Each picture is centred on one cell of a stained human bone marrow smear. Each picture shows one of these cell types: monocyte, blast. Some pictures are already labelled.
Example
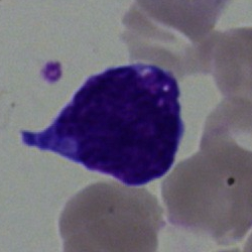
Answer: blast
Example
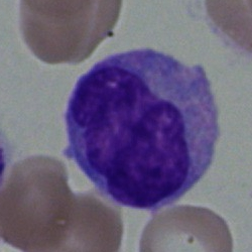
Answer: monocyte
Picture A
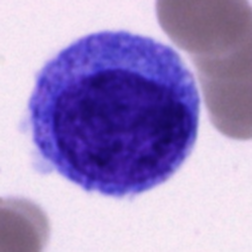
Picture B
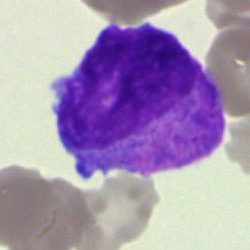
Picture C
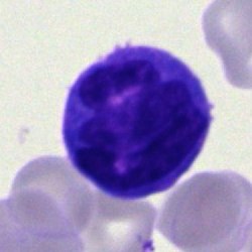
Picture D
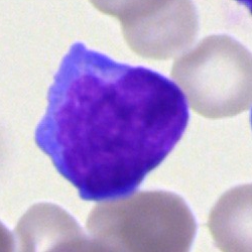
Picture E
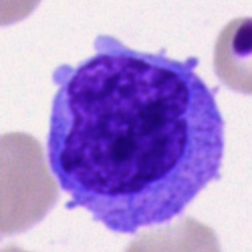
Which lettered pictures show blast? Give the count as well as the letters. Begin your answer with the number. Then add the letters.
3: A, B, D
